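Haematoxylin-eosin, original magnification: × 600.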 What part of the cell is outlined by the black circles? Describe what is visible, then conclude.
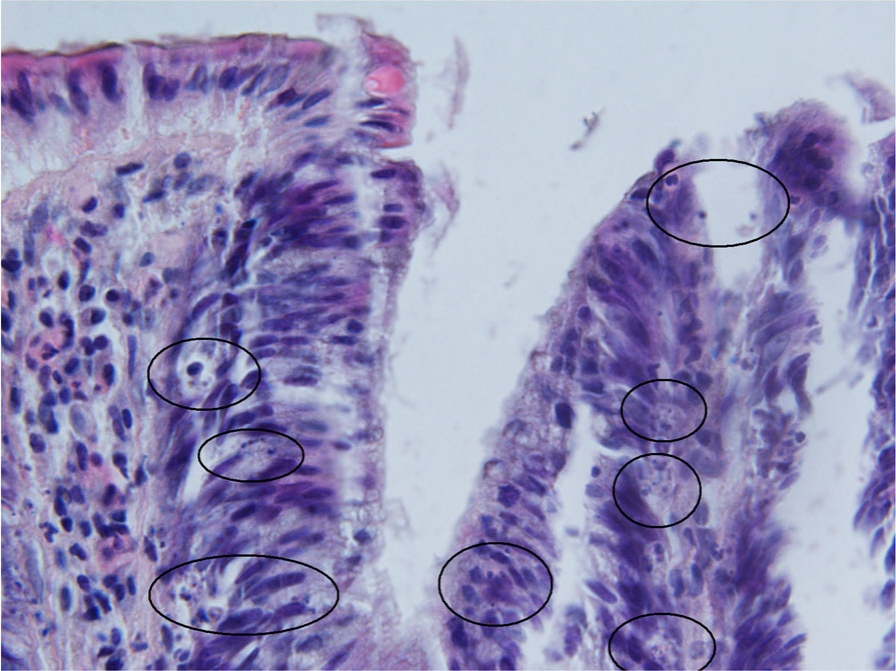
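The circles enclose small, dense, dark round fragments lying among the epithelial cells. Several of these fragments sit inside pale, clear halos. The fragments are much smaller than the neighbouring elongated epithelial nuclei.
Conclusion: apoptotic bodies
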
